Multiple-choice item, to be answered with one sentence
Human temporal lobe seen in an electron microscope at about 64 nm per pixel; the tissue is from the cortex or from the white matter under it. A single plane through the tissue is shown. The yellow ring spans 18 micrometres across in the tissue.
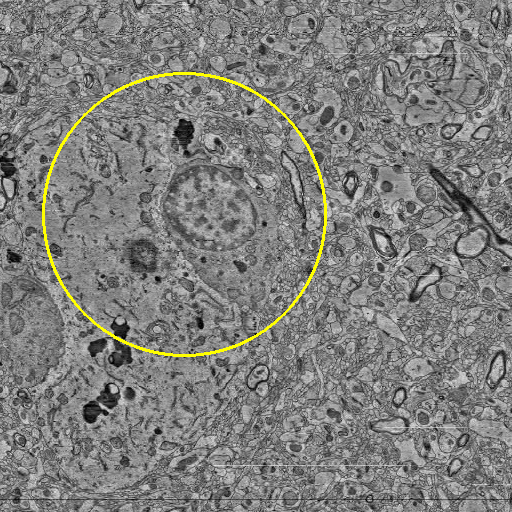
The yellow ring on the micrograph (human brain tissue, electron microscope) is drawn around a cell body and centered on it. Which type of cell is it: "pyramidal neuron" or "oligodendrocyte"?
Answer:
The ring is centered on an oligodendrocyte.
